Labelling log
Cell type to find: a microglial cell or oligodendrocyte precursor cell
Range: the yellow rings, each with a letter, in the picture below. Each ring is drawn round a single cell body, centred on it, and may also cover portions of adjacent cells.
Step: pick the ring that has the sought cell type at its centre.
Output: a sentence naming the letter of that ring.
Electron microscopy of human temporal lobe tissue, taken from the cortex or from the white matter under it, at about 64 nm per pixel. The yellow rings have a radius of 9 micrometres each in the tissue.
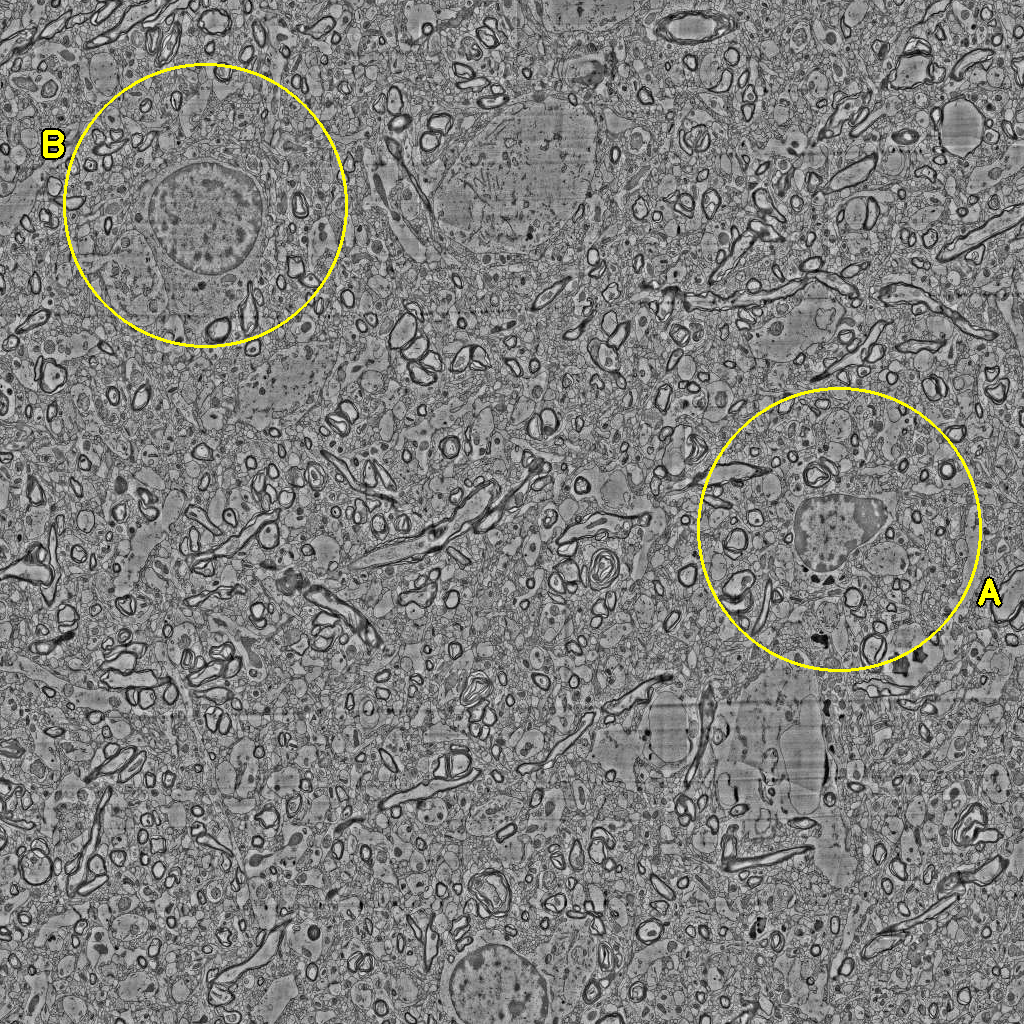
Ring A is the one with the cell asked for at its centre.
